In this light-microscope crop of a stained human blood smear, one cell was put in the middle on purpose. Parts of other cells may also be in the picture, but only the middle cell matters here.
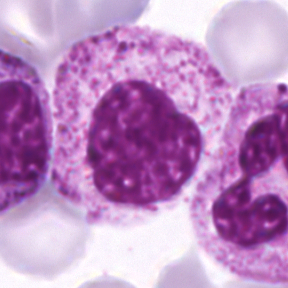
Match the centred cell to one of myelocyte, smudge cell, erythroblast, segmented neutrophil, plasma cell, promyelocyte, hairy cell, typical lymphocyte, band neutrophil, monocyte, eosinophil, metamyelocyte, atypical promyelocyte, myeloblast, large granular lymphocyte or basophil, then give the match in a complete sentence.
As for the cell in the middle, it is a myelocyte.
